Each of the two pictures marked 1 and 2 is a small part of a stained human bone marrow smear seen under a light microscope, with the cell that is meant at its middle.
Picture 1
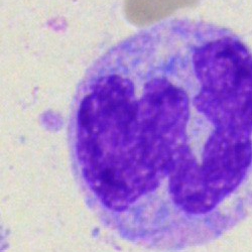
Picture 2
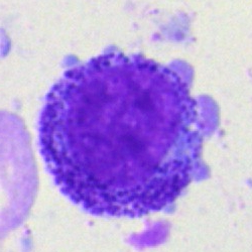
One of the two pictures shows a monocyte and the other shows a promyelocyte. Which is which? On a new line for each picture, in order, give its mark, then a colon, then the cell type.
1: monocyte
2: promyelocyte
